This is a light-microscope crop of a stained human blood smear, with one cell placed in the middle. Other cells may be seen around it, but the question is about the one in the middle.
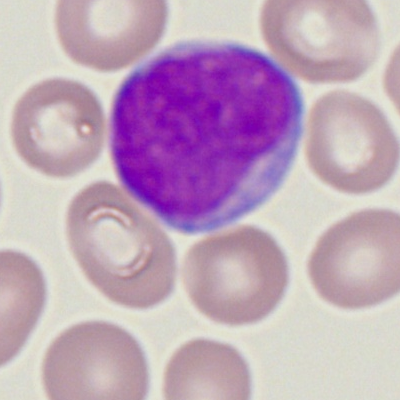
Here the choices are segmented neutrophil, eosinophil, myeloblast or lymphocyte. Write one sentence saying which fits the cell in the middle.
The cell the crop is centered on is a myeloblast.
